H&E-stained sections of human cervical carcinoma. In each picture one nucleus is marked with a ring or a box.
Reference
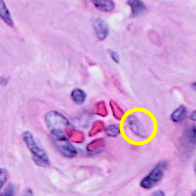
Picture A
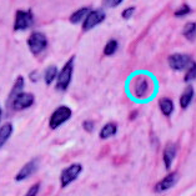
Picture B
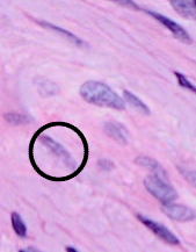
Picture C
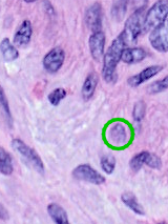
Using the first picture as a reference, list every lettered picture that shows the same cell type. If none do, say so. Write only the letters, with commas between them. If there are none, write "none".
none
